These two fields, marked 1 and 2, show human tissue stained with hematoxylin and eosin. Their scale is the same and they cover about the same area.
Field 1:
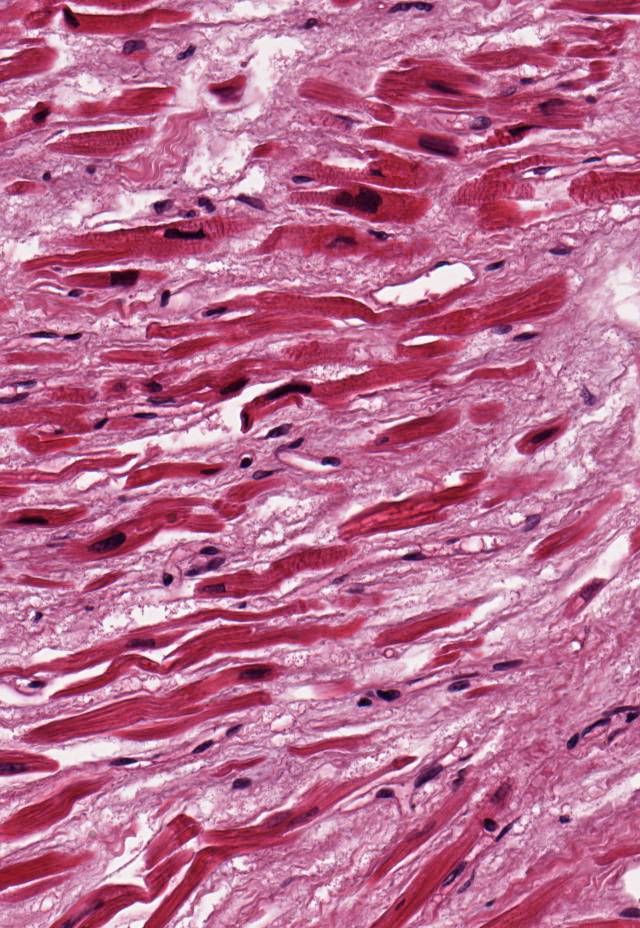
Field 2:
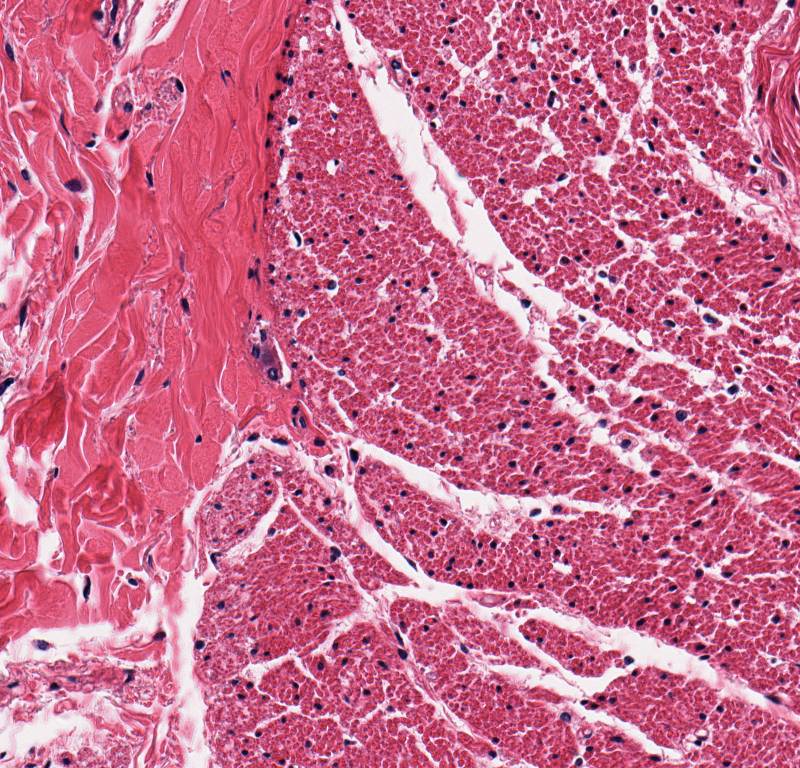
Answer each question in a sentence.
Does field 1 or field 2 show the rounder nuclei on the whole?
The nuclei are rounder in field 2.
